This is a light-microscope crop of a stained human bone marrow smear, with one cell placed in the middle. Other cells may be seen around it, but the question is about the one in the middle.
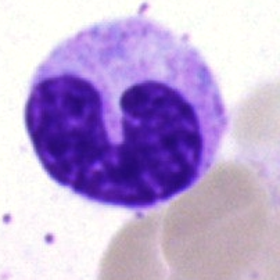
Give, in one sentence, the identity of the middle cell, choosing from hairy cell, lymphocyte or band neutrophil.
The cell occupying the middle of the crop is a band neutrophil.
